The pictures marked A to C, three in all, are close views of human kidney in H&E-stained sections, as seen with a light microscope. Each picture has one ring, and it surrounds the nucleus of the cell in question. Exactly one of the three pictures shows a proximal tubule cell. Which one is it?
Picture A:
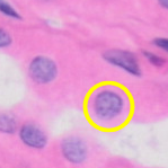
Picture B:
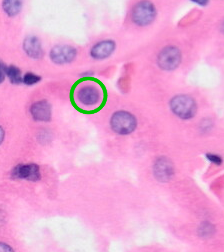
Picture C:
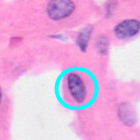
B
